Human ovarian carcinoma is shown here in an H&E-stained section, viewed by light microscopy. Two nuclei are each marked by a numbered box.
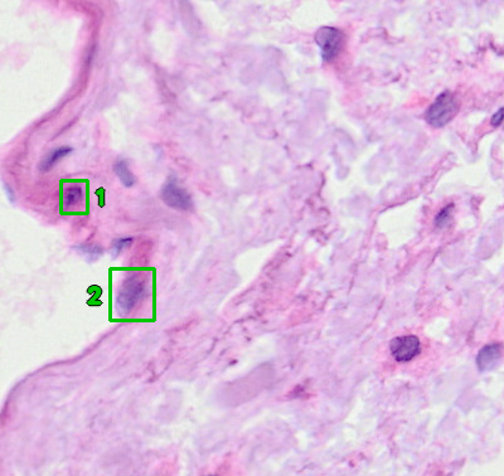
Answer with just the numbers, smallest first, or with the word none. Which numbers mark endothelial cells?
2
